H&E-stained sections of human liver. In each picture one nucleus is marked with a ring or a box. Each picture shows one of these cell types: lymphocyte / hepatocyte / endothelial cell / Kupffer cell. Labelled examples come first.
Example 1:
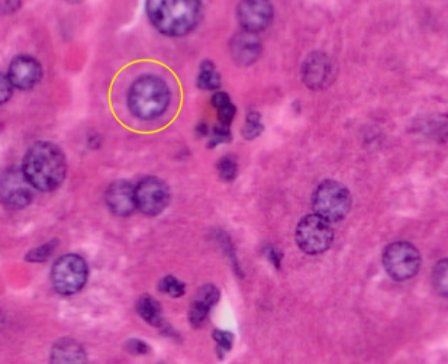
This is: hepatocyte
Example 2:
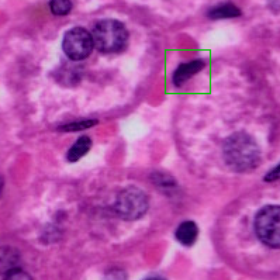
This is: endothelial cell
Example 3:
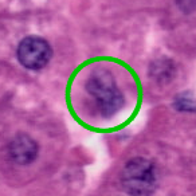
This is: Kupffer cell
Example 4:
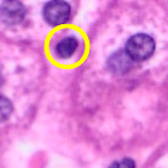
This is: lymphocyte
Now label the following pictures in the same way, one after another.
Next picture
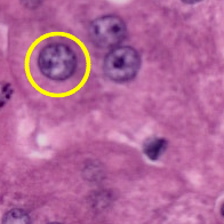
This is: hepatocyte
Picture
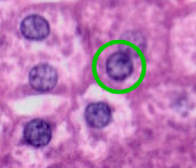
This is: hepatocyte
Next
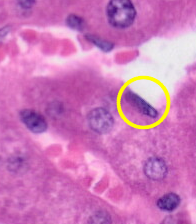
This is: endothelial cell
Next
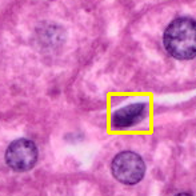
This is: Kupffer cell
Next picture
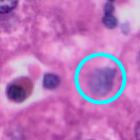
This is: endothelial cell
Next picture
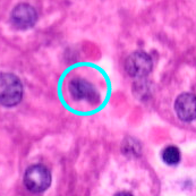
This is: endothelial cell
